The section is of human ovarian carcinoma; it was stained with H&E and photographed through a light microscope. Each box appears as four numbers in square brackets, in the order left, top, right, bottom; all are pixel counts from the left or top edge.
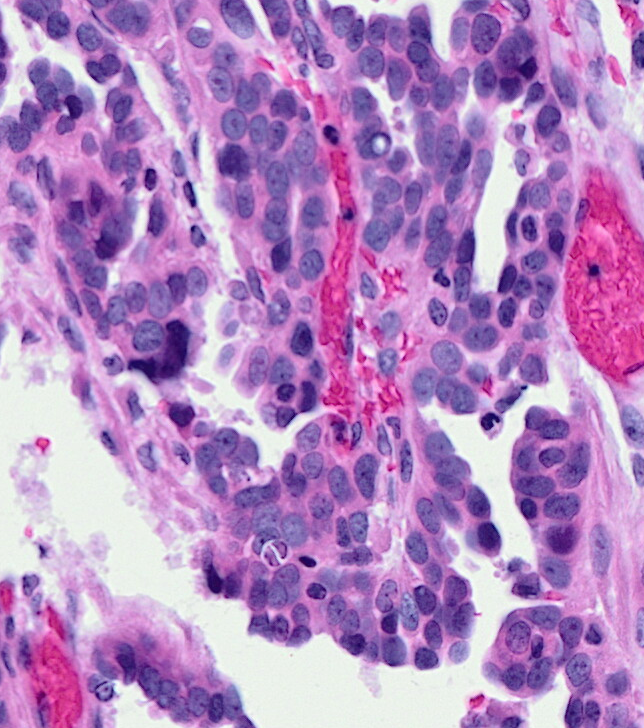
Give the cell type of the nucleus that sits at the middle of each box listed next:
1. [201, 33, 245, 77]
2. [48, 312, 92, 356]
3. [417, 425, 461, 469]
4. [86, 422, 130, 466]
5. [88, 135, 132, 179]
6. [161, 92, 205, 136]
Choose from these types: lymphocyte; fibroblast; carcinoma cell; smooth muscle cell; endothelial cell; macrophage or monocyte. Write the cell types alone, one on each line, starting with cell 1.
carcinoma cell
fibroblast
carcinoma cell
endothelial cell
carcinoma cell
fibroblast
